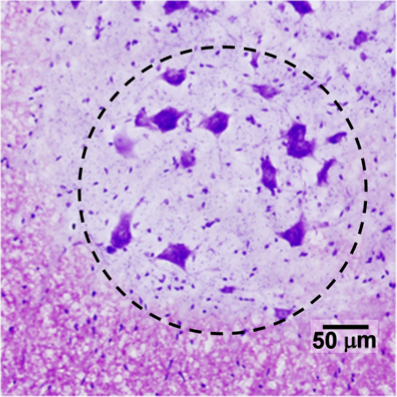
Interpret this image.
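Large motor neurons of the ventral horn stand out as deep purple, polygonal to multipolar cell bodies within pale grey matter. Small dark nuclei are scattered between the neurons throughout the field. Around the lower and left edges lies more densely textured, pink-purple tissue with many small nuclei.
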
